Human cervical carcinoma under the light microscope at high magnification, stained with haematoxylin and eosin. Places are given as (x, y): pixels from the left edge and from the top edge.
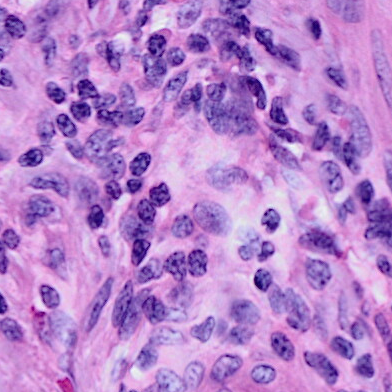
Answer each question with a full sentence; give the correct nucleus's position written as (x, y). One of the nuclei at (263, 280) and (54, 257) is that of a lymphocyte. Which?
The nucleus of a lymphocyte is the one found at (263, 280), not the other.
